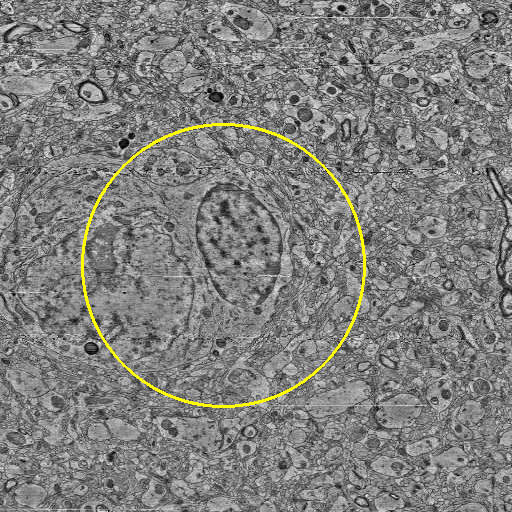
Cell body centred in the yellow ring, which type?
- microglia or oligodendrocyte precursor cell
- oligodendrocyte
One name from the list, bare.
microglia or oligodendrocyte precursor cell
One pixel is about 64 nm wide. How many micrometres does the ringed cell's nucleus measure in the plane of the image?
Roughly 8 micrometres by 5 micrometres, so the nucleus is clearly longer than it is wide in this plane.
